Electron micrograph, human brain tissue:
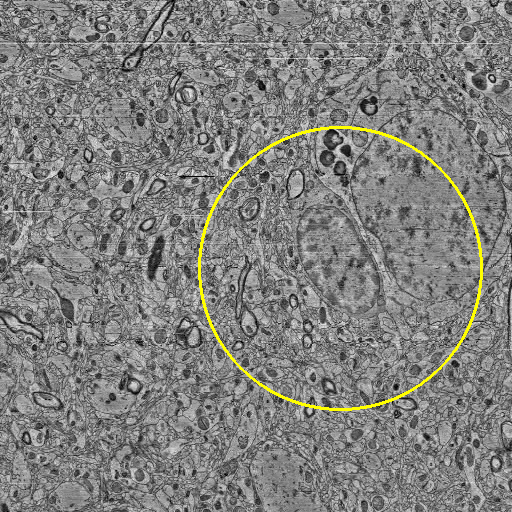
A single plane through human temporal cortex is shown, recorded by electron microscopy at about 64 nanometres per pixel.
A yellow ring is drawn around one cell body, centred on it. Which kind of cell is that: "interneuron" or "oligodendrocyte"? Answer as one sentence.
It is an oligodendrocyte at the centre of the ring.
